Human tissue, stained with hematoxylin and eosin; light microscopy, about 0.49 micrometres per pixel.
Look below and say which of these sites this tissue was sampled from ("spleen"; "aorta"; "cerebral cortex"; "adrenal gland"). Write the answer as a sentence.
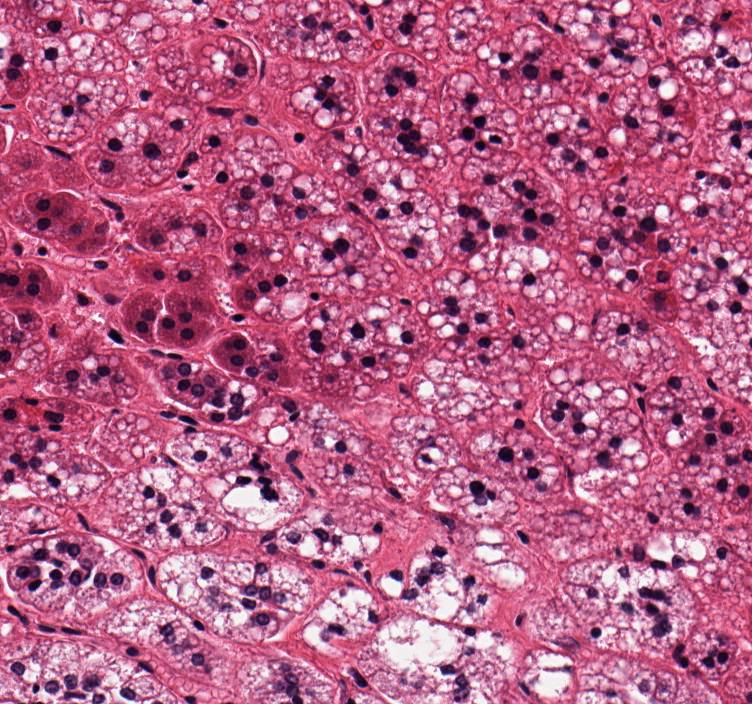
The site this tissue was sampled from is the adrenal gland.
